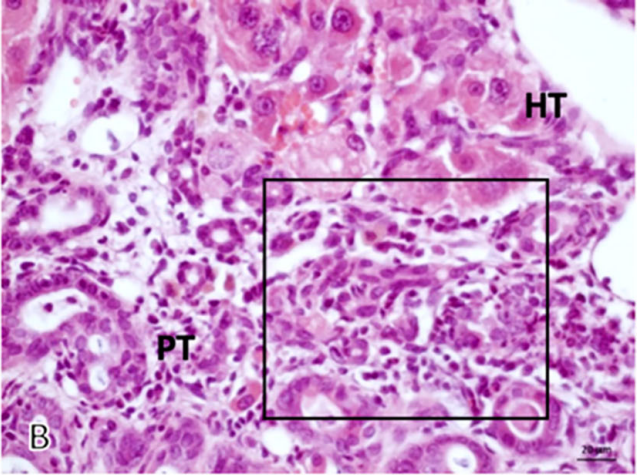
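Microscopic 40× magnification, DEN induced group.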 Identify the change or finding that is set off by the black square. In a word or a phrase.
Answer: Bile Duct hyperplasia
